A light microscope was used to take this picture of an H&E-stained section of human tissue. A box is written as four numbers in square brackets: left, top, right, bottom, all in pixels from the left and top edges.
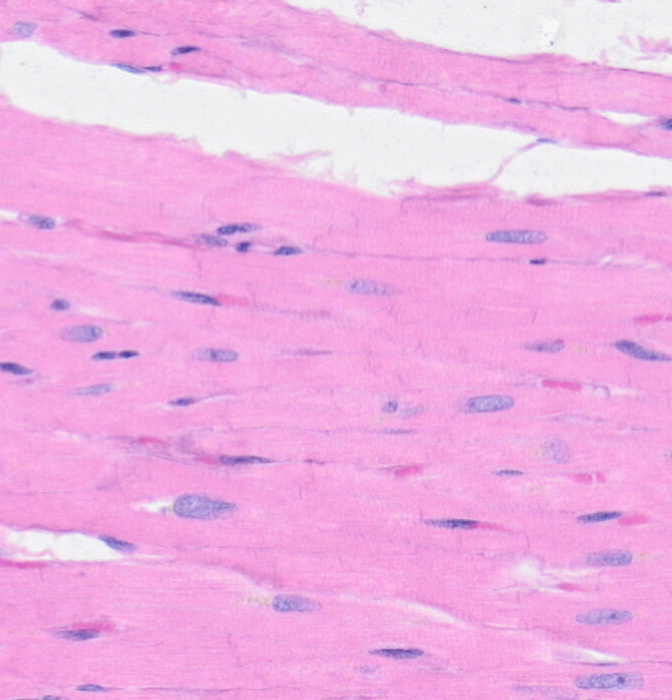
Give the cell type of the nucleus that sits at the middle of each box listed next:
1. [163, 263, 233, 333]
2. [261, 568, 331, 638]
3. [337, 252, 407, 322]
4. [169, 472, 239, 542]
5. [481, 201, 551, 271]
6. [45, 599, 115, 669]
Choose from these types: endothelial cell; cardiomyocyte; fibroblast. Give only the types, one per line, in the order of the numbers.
endothelial cell
cardiomyocyte
cardiomyocyte
cardiomyocyte
cardiomyocyte
endothelial cell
